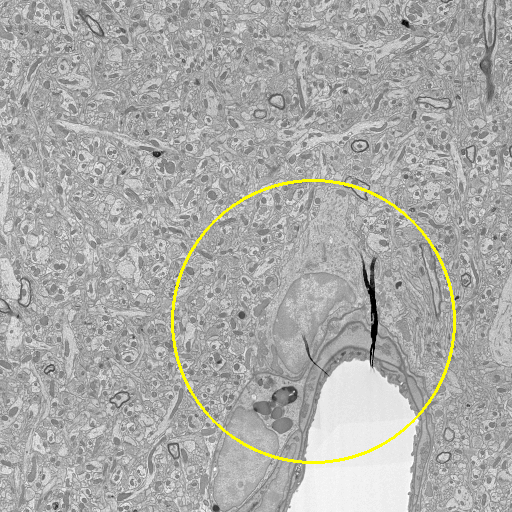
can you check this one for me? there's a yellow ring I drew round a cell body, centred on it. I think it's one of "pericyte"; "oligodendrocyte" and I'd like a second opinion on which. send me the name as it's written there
oligodendrocyte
